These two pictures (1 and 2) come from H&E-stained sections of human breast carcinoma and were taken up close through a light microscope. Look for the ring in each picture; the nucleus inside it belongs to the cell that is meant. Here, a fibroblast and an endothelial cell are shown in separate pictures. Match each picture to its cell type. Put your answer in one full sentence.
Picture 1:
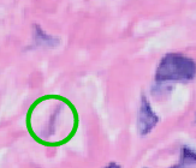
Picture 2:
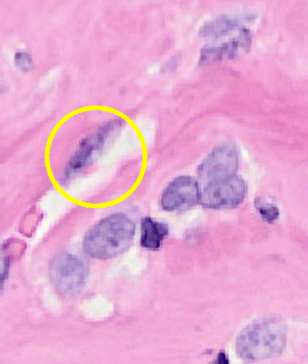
Picture 2 shows an endothelial cell, while picture 1 shows a fibroblast.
